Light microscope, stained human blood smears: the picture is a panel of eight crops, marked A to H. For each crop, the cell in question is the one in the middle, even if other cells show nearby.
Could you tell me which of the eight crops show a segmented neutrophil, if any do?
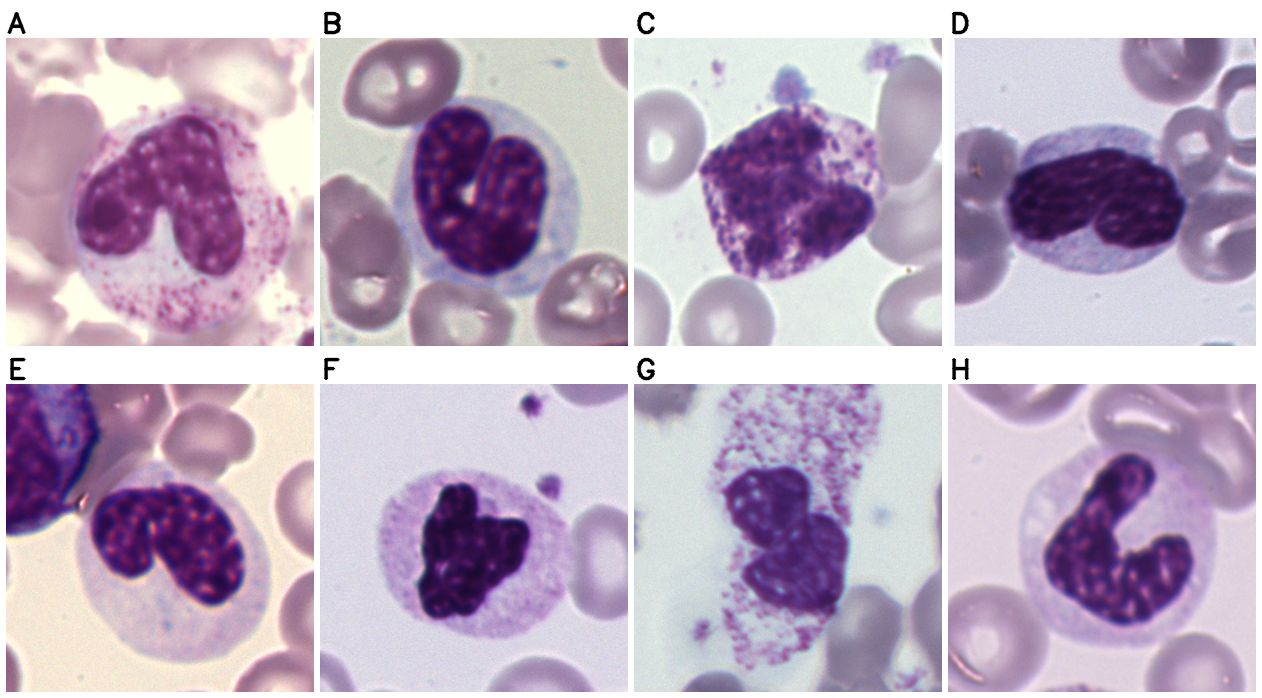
F, G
